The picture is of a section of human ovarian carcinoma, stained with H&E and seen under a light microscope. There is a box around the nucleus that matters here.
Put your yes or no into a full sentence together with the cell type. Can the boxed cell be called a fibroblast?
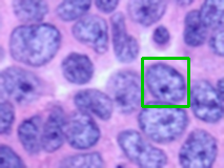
No, that is wrong: the boxed cell is a carcinoma cell, not a fibroblast.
